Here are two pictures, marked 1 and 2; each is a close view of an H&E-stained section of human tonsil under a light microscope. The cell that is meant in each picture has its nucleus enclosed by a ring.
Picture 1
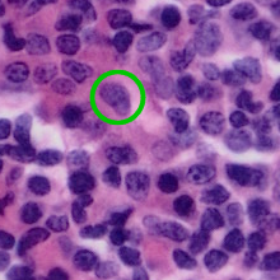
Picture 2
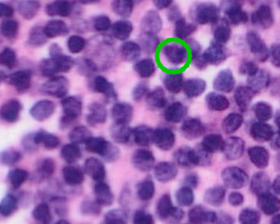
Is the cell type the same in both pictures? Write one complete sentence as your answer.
No; the cell in picture 1 is an endothelial cell, while the one in picture 2 is a small lymphocyte.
